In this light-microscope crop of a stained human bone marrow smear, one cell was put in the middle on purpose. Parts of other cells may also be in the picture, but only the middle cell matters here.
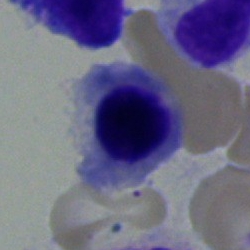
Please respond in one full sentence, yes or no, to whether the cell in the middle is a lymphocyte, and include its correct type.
No, the correct answer for the middle cell is an erythroblast, not a lymphocyte.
